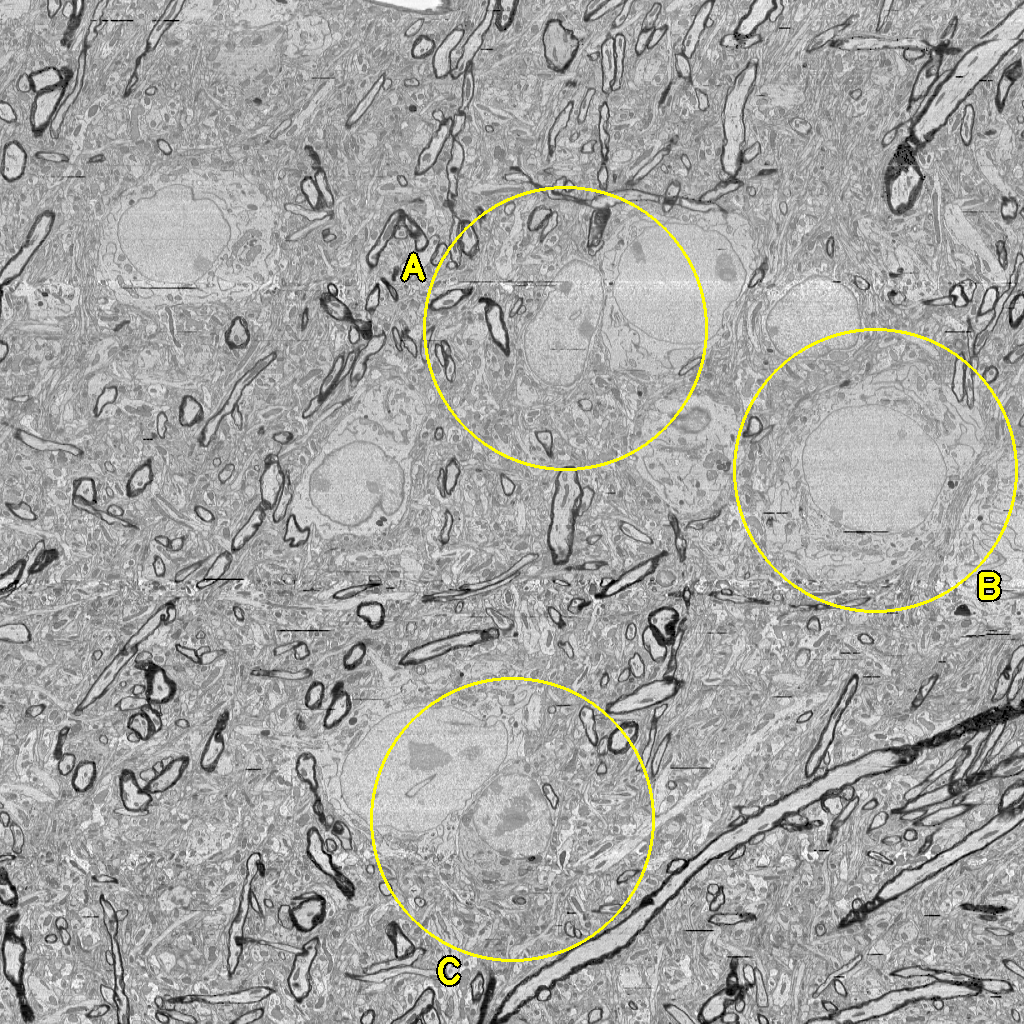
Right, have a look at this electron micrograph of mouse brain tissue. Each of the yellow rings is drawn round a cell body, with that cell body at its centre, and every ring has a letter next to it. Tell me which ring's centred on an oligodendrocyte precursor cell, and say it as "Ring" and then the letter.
Ring A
